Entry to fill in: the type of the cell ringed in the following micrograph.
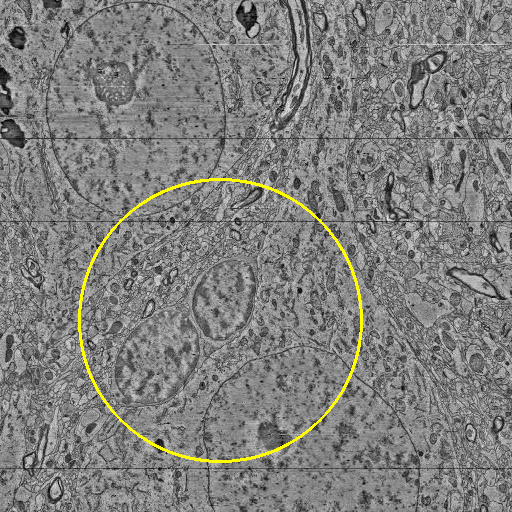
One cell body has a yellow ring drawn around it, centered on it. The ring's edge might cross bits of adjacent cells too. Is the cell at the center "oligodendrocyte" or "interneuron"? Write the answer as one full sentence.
This entry names an oligodendrocyte as the cell whose body lies at the ring's center.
